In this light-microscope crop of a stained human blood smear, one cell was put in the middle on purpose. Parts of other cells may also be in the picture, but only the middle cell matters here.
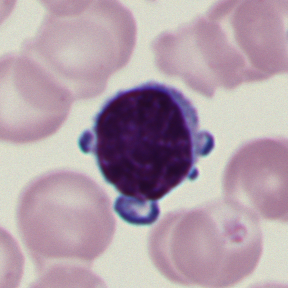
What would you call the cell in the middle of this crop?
typical lymphocyte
